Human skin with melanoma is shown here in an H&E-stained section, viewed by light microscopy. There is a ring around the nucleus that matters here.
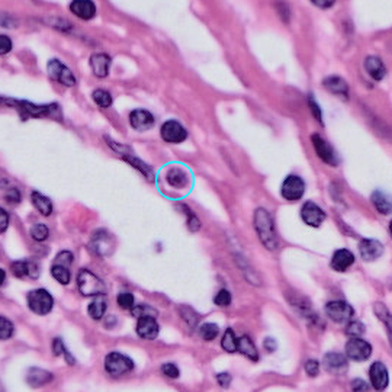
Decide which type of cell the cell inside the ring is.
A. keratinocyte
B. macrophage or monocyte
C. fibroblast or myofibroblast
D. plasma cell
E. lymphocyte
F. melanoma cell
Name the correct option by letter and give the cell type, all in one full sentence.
Option E stands as correct, with the cell inside the ring being a lymphocyte.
